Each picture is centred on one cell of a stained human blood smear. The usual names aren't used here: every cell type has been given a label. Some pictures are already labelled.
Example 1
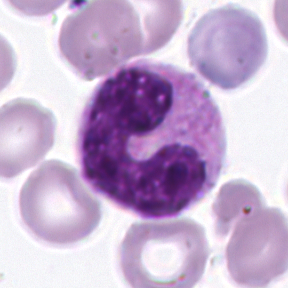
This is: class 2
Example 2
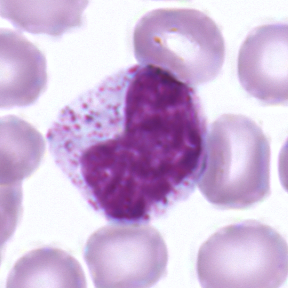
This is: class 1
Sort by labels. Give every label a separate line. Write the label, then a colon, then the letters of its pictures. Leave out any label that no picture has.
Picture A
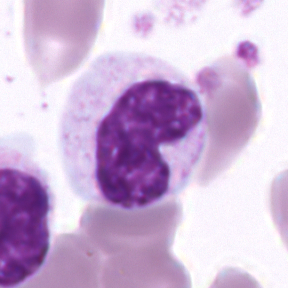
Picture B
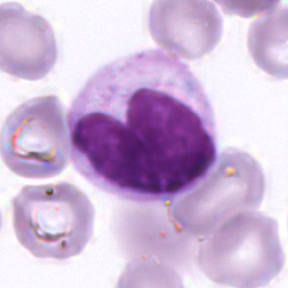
class 2: B
class 1: A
